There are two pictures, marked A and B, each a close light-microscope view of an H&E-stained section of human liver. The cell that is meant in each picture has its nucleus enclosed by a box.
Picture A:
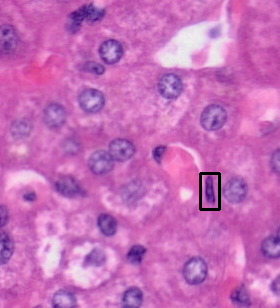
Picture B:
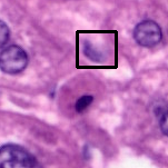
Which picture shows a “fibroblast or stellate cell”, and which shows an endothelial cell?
A: fibroblast or stellate cell
B: endothelial cell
